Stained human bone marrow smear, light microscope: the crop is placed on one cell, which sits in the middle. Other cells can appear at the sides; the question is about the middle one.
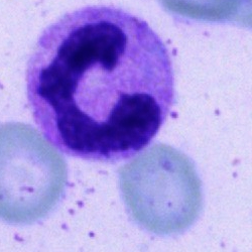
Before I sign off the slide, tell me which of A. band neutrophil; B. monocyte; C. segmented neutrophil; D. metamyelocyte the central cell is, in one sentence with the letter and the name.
Correctly, option C names the cell in the middle a segmented neutrophil.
